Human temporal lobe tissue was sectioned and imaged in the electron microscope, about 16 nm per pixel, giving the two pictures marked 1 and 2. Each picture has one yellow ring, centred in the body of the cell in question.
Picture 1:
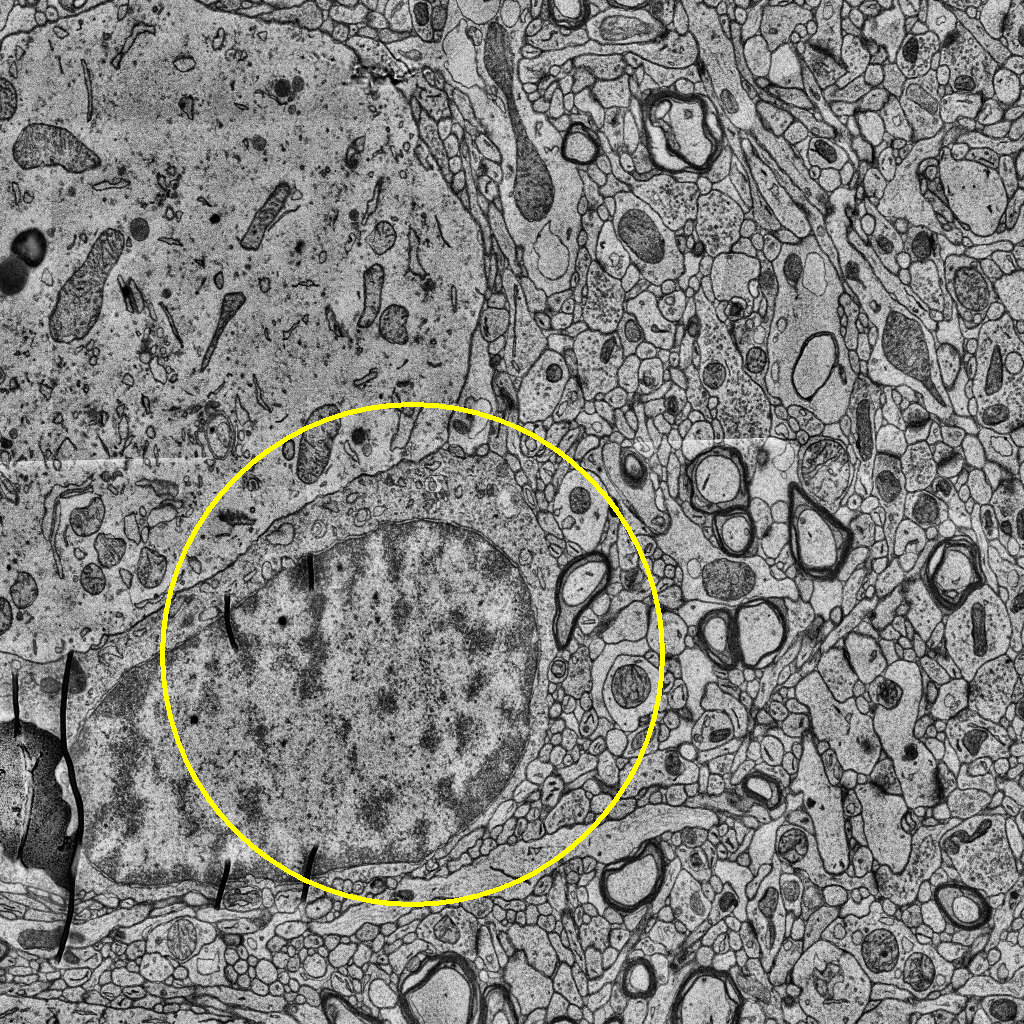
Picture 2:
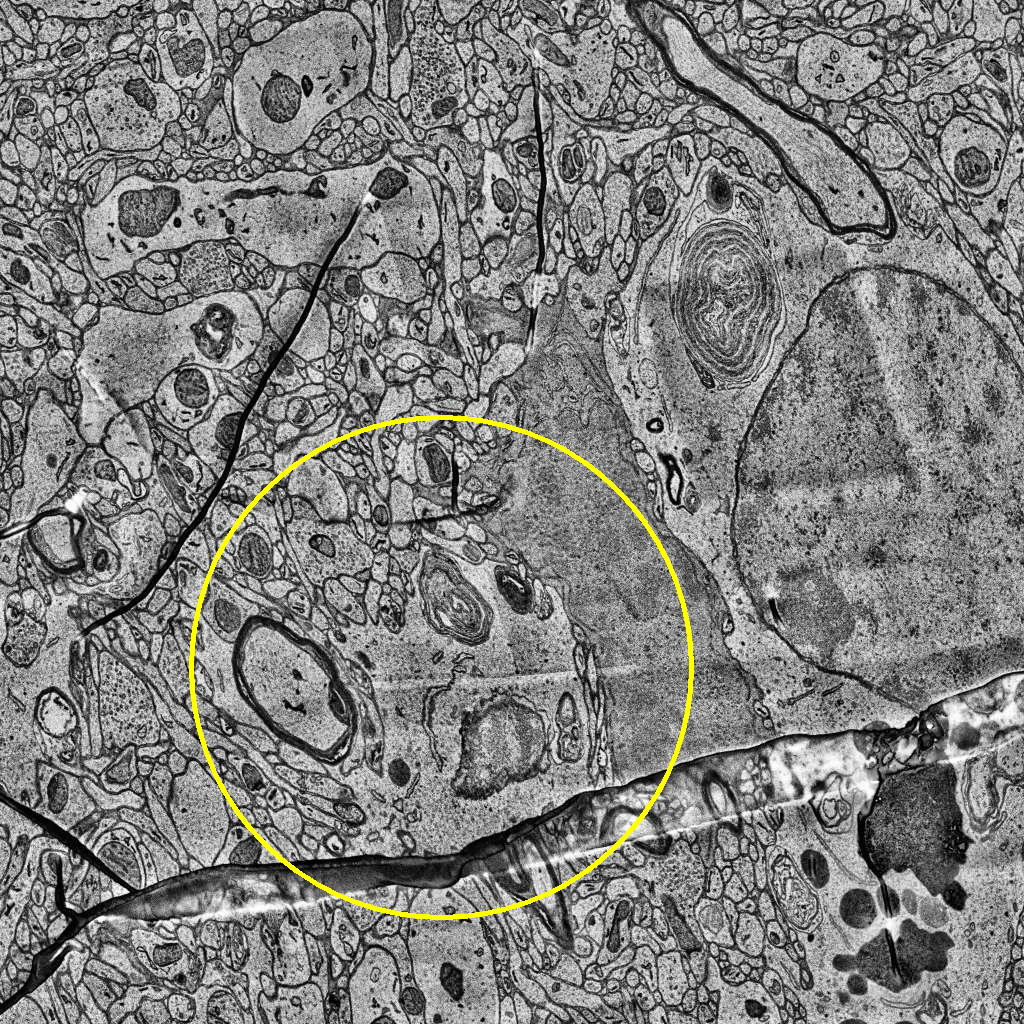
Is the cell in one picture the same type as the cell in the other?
No. Picture 1 shows an oligodendrocyte, but picture 2 shows an astrocyte.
